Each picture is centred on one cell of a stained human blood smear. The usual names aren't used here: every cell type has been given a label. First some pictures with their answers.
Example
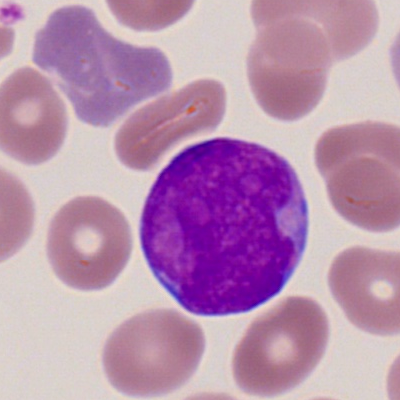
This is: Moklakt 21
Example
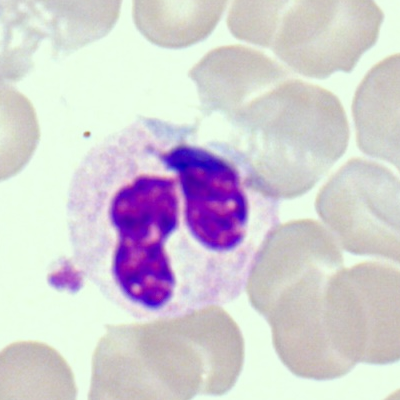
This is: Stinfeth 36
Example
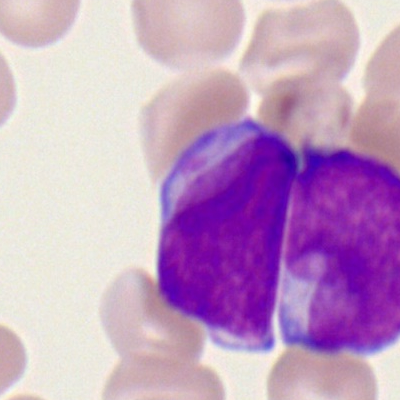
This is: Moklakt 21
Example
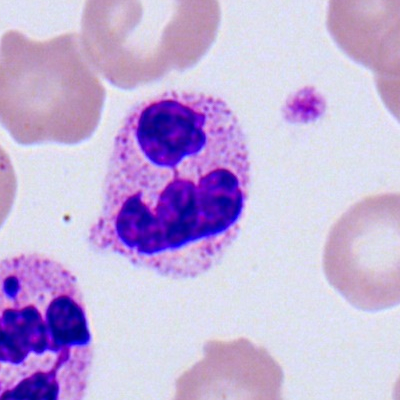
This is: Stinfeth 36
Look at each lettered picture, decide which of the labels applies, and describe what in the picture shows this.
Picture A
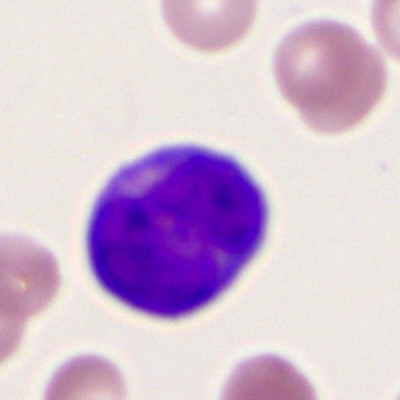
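Moklakt 21: At most a very thin rim of cytoplasm shows around the nucleus.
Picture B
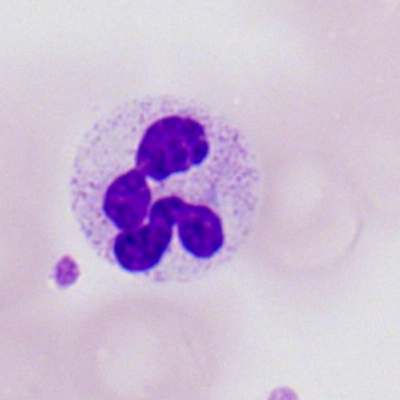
Stinfeth 36: The cytoplasm is plentiful and pale pinkish-lilac.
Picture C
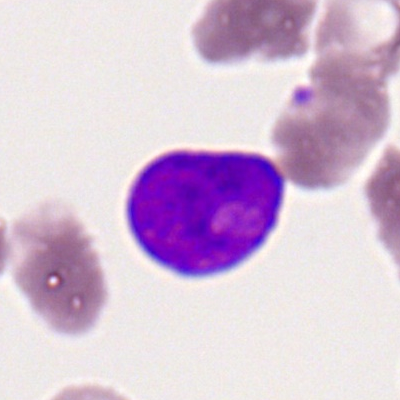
Moklakt 21: The cytoplasm is only a very thin deep-blue rim around the nucleus.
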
